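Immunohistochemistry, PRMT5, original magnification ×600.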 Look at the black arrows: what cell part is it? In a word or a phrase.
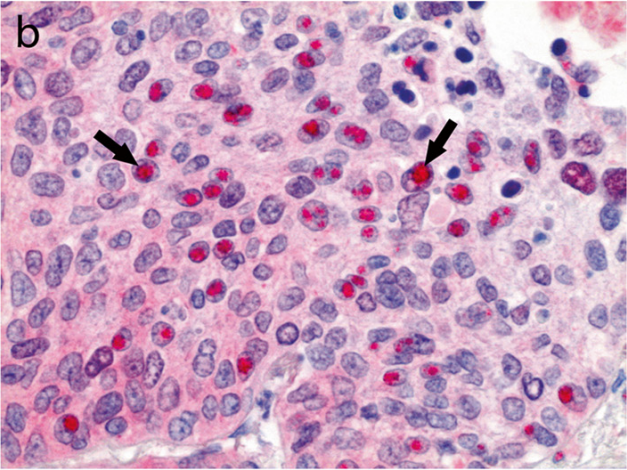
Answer: intranuclear globules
